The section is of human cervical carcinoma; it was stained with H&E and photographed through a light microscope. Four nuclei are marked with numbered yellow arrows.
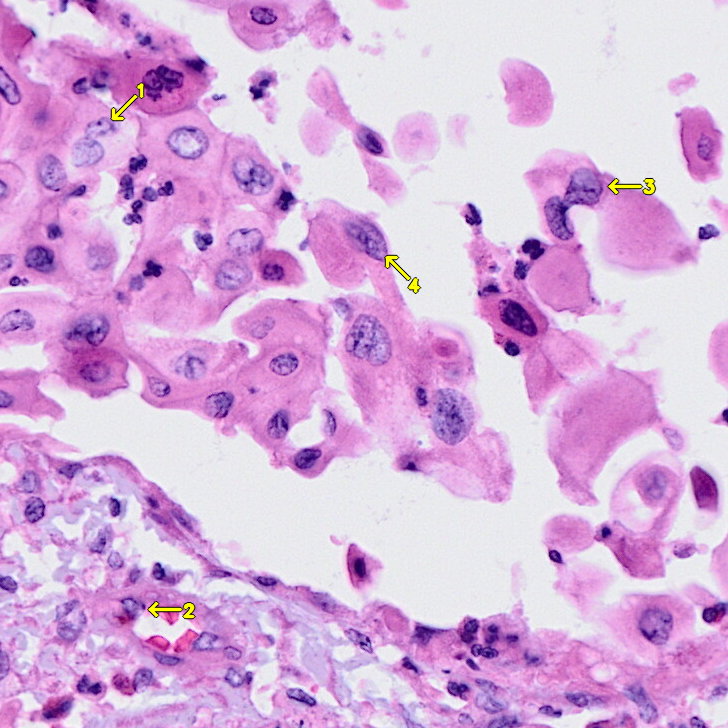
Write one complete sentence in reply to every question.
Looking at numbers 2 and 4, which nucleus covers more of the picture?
At about 3 times the area of nucleus 2, nucleus 4 is the larger of the two.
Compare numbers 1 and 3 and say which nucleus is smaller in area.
With nucleus 3 about 2.5 times its size, nucleus 1 is the smaller of the two.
